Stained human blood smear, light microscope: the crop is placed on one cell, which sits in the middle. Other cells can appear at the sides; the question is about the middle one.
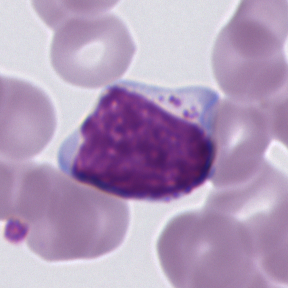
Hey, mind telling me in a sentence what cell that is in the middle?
The crop centres on a single cell, and that cell is a large granular lymphocyte.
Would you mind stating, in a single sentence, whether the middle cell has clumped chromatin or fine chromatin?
One feature to record is coarsely clumped chromatin.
